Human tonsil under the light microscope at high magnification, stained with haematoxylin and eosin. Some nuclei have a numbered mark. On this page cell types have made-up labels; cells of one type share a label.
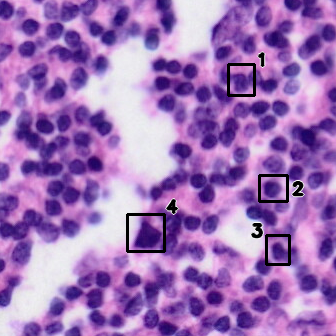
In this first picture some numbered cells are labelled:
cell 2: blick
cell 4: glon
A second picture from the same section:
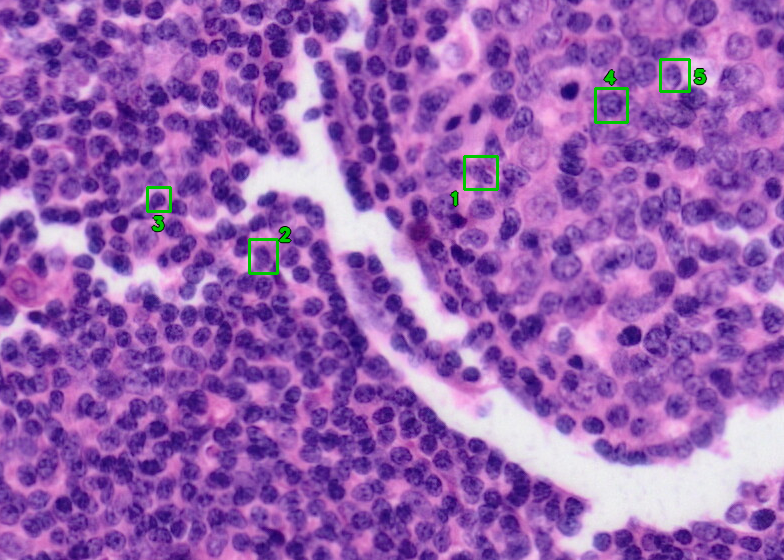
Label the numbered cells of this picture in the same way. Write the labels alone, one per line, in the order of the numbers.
glon
blick
blick
glon
glon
